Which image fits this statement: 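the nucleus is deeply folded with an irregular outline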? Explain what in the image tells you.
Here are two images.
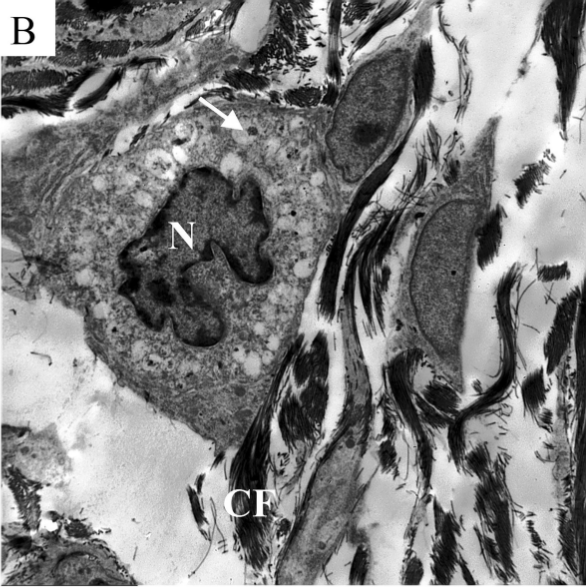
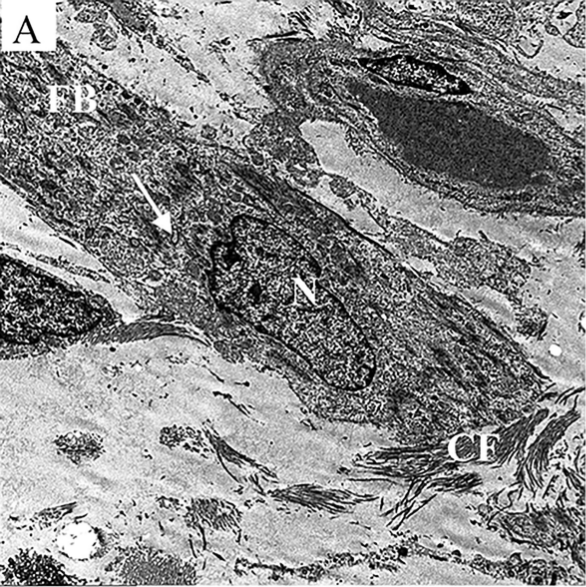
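The first image. First image: the labelled nucleus has a highly irregular, deeply indented outline.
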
